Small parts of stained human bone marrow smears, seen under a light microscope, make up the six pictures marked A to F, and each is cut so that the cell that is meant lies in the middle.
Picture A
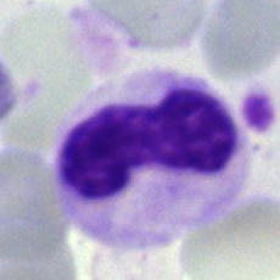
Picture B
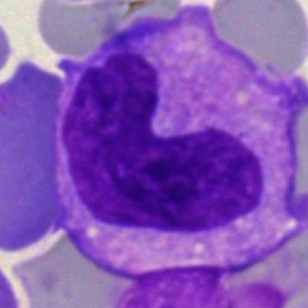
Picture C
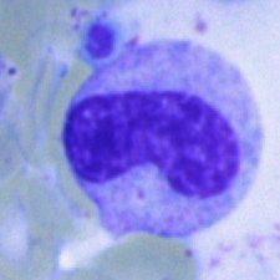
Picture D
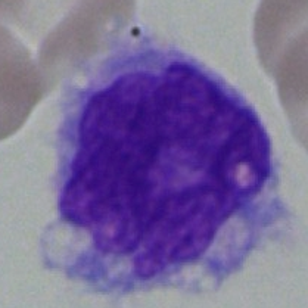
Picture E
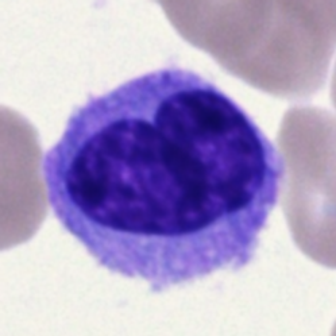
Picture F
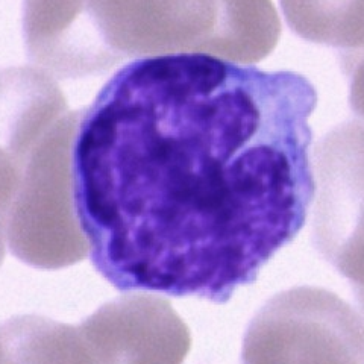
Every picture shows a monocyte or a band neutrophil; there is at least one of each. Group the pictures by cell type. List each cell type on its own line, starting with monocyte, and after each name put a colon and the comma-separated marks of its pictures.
monocyte: B, D, E, F
band neutrophil: A, C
